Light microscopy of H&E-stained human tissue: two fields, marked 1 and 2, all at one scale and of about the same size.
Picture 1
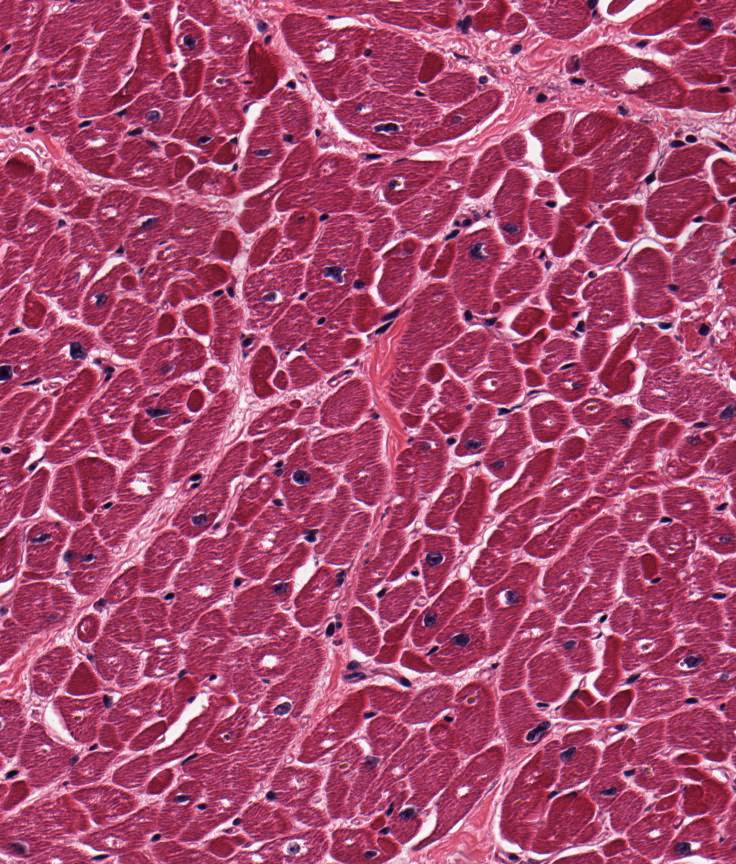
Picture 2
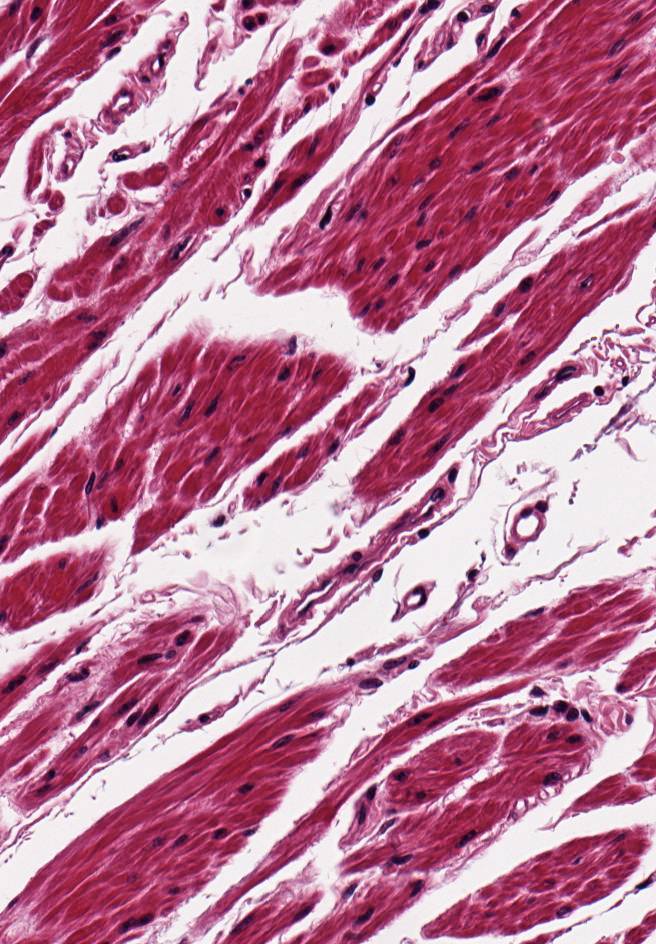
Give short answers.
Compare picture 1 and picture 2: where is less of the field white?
1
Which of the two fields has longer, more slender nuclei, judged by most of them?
2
